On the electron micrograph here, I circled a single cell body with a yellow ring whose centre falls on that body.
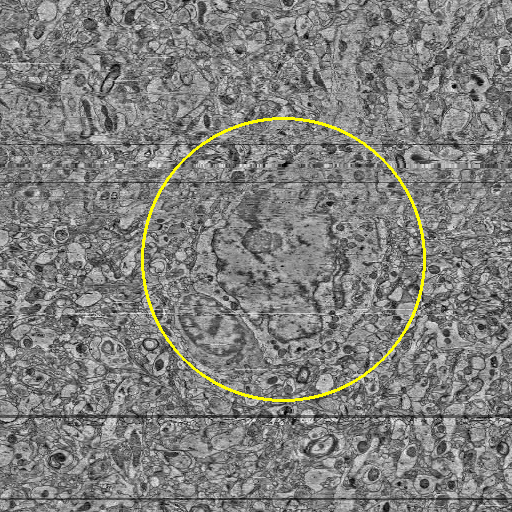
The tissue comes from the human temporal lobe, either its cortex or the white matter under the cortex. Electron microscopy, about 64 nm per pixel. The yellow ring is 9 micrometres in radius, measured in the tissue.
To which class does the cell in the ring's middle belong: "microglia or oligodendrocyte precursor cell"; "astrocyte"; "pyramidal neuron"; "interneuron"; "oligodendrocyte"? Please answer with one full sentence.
In this picture, the cell body circled at the ring's centre belongs to an interneuron.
